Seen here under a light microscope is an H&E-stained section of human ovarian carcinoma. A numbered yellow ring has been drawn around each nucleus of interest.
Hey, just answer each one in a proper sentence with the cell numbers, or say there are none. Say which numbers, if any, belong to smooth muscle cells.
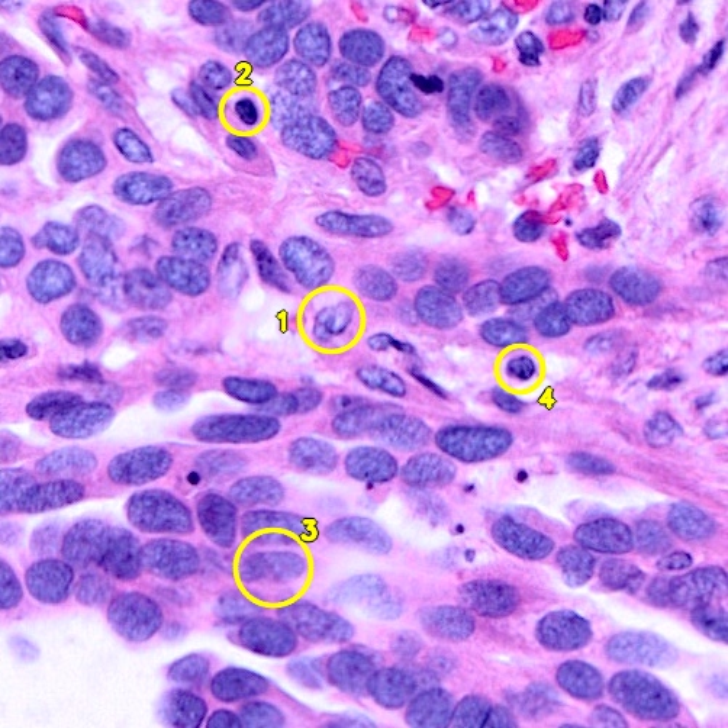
None of the numbered cells is one of the smooth muscle cells.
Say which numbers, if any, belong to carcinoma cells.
Only one of the numbered nuclei, number 3, belongs to a carcinoma cell.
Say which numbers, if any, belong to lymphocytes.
Cells 2 and 4 are recognised here as lymphocytes.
